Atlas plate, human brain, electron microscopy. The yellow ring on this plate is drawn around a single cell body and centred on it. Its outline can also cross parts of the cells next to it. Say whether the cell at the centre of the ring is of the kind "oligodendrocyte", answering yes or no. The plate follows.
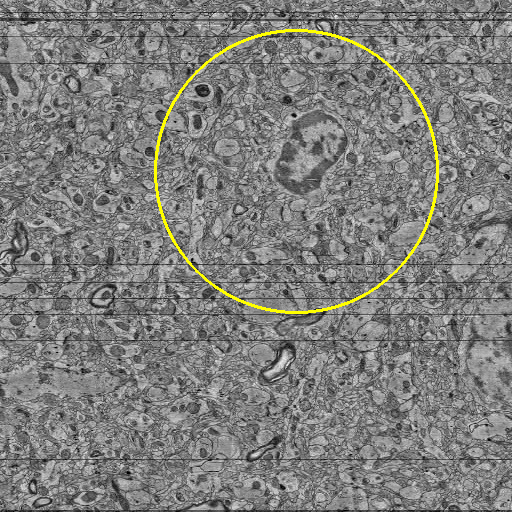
No, the cell is of another kind.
